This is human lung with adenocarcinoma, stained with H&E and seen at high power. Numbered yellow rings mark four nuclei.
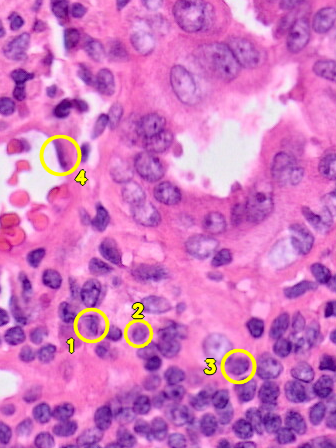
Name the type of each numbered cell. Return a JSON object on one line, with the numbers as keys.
{"1": "lymphocyte", "2": "lymphocyte", "3": "lymphocyte", "4": "endothelial cell"}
